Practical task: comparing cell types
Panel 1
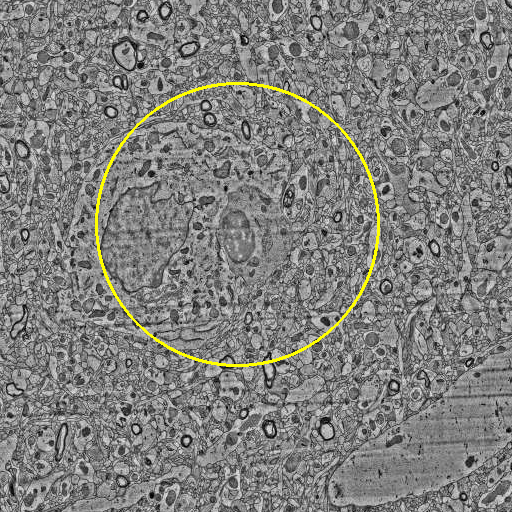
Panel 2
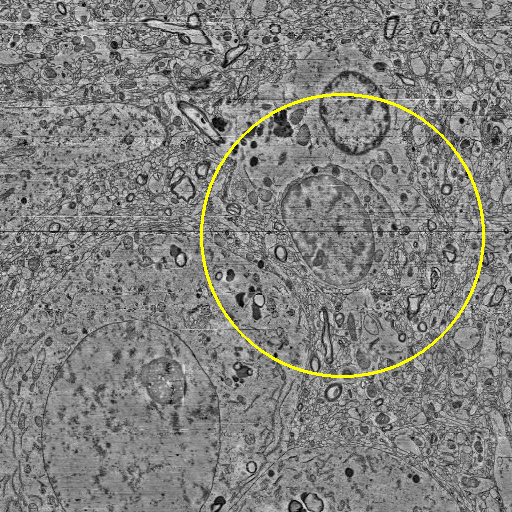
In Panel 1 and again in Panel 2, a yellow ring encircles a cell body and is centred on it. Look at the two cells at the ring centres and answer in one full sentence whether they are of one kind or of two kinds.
The two cells sitting at the ring centres of Panels 1 and 2 are of one kind.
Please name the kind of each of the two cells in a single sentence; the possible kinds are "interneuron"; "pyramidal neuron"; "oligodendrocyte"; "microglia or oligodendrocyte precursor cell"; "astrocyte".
Each of the two cells is an oligodendrocyte.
